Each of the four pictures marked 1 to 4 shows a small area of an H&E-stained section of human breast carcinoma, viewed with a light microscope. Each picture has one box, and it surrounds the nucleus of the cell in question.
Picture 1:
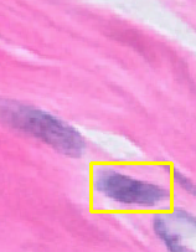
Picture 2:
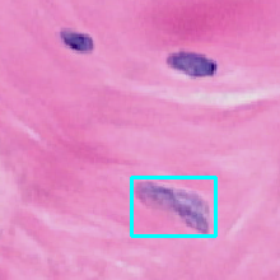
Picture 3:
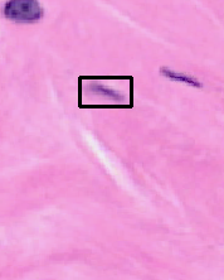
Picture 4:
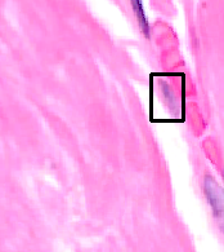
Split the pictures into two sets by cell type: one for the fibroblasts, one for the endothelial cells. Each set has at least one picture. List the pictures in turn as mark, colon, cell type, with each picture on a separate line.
1: endothelial cell
2: fibroblast
3: fibroblast
4: endothelial cell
